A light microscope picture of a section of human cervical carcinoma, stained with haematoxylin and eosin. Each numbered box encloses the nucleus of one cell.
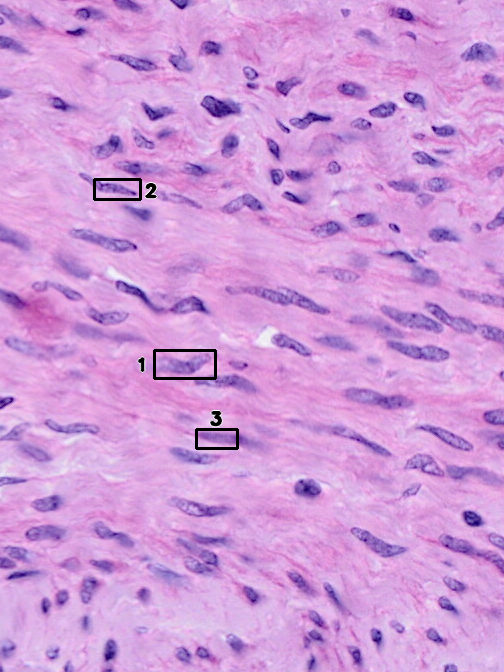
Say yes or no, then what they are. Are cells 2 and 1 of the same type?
No, the cell tagged 2 is a fibroblast, whereas the cell tagged 1 is a smooth muscle cell.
